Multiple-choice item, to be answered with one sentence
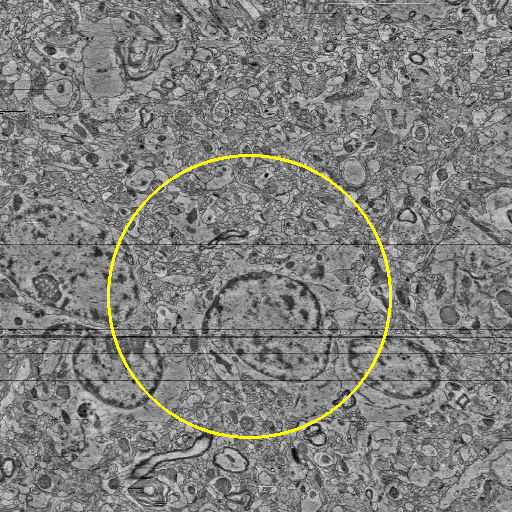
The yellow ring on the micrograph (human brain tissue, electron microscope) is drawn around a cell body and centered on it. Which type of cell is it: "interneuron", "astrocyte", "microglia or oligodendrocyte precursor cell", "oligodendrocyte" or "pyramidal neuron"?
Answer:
The ring is centered on an astrocyte.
